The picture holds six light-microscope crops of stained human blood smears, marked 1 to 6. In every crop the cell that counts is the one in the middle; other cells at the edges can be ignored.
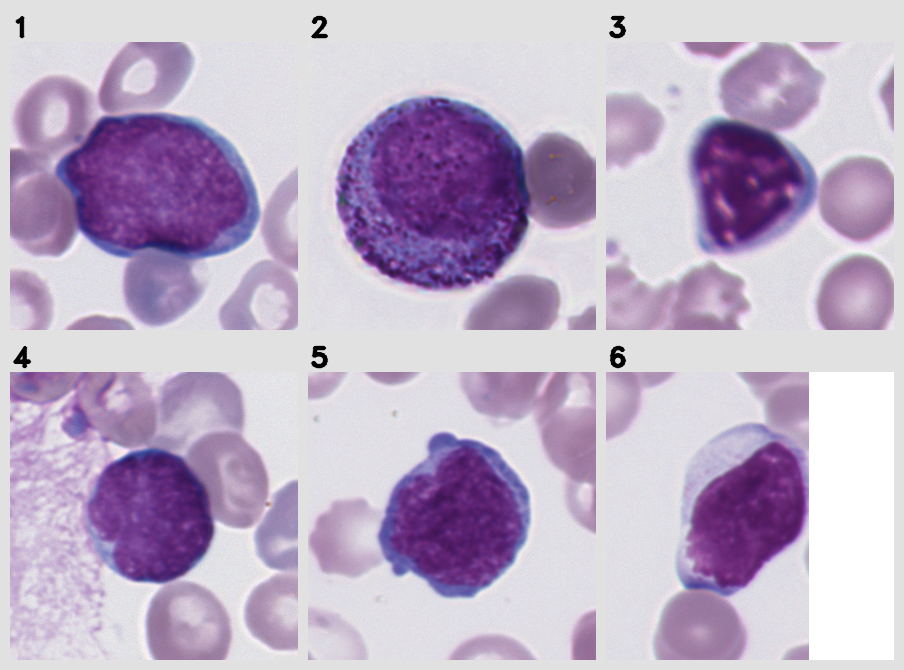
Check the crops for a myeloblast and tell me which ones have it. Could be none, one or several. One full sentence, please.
Crops 1, 4 and 5 show myeloblasts at their centres.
